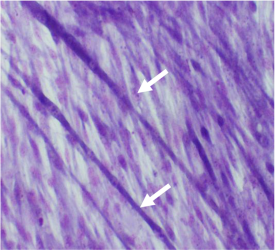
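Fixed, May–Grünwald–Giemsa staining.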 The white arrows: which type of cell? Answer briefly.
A: Differentiated myotubes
